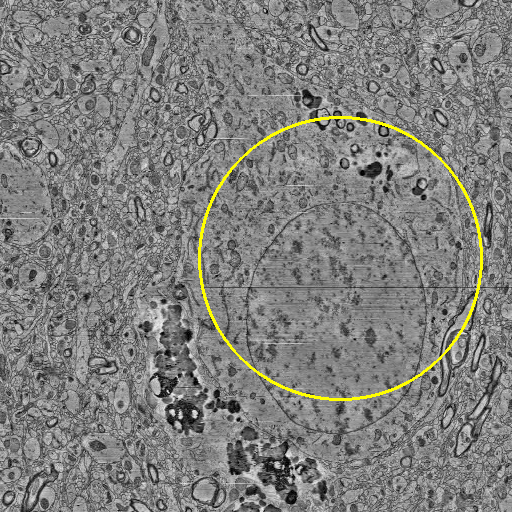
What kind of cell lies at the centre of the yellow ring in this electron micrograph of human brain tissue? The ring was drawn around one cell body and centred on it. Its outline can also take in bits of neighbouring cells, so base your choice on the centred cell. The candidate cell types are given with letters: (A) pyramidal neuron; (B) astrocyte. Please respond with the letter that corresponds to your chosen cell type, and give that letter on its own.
A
